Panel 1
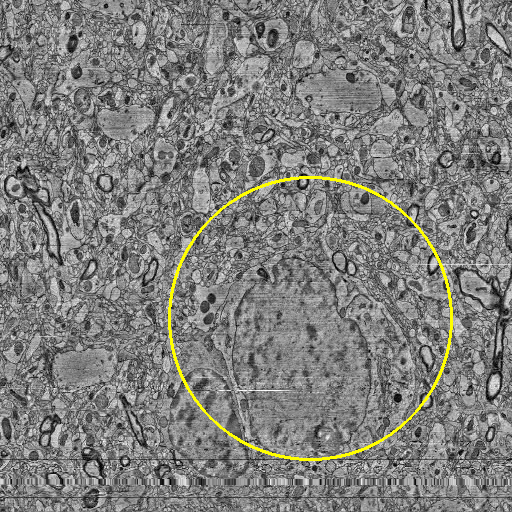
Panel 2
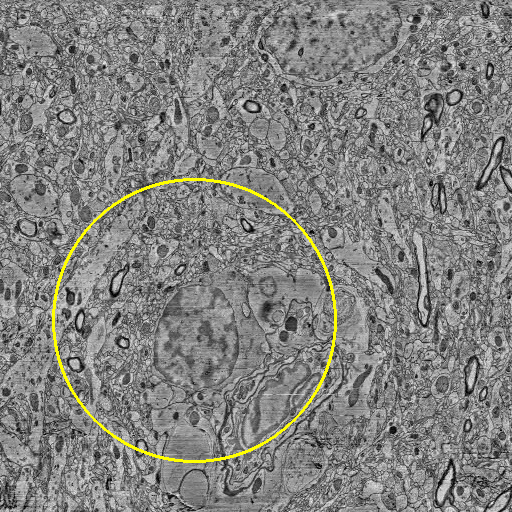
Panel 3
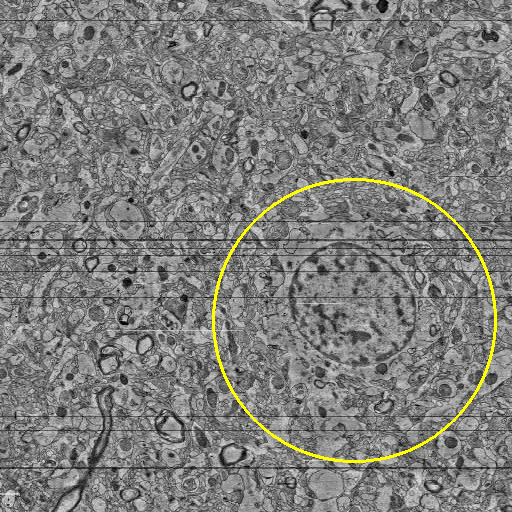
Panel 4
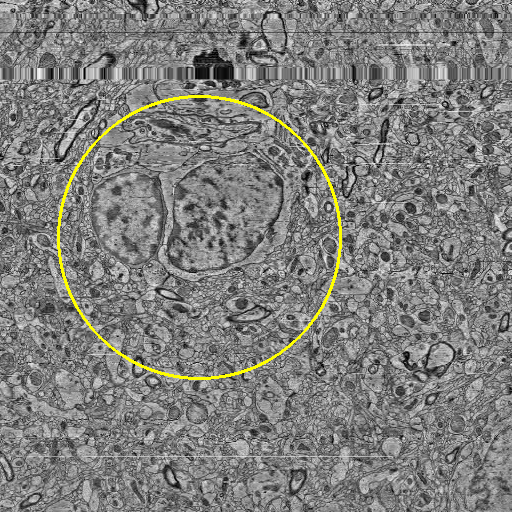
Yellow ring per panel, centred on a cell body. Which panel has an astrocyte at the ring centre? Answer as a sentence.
Panel 3 shows it at the ring centre.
